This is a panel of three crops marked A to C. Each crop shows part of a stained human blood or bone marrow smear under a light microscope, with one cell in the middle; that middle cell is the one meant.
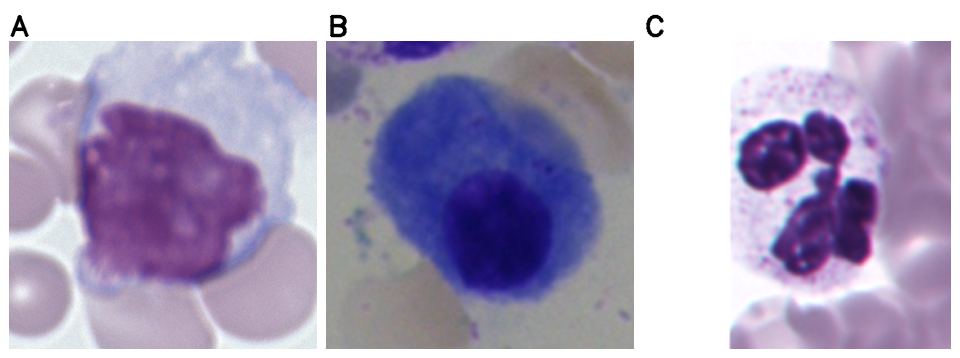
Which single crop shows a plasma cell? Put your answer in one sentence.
Of these crops, it is crop B that shows a plasma cell.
